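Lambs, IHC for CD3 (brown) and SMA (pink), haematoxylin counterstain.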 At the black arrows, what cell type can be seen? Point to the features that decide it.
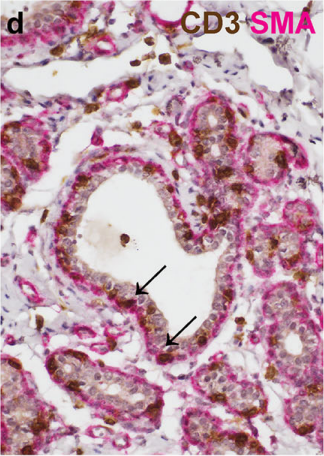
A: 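Small round brown-stained cells lie among the epithelial cells lining a duct. The pink-outlined layer surrounds the epithelium containing these cells. So: intraepithelial lymphocytes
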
